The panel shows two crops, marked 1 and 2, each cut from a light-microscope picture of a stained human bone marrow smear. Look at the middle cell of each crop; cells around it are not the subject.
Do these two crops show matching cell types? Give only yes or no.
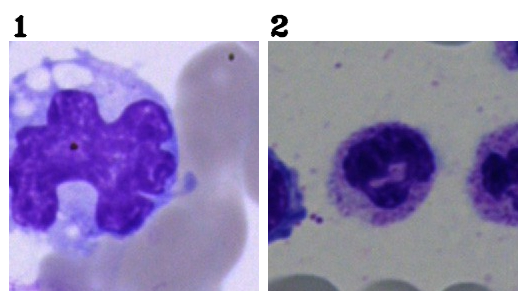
no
